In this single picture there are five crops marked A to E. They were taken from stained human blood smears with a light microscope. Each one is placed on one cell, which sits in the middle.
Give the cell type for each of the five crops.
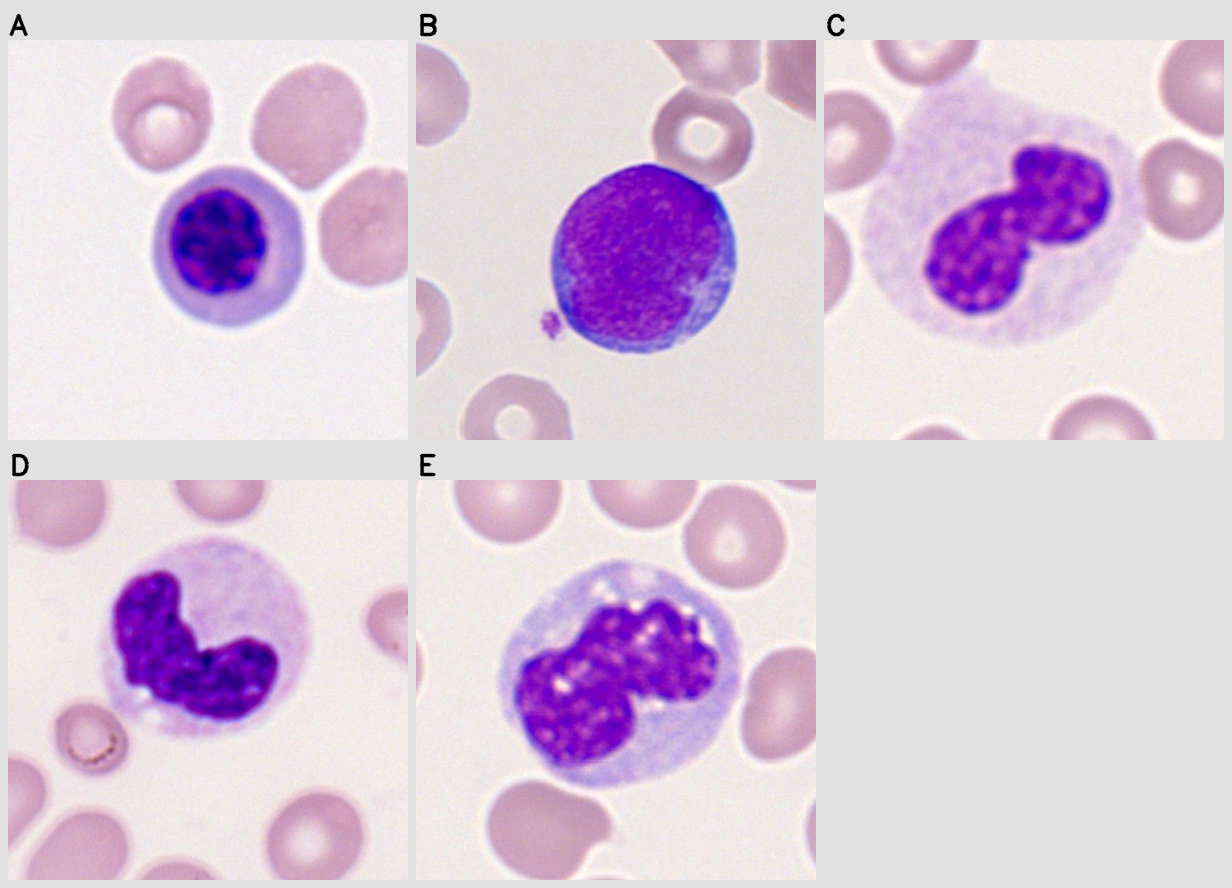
A: normoblast
B: myeloblast
C: segmented neutrophil
D: band neutrophil
E: monocyte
